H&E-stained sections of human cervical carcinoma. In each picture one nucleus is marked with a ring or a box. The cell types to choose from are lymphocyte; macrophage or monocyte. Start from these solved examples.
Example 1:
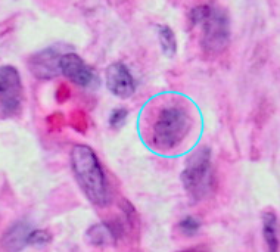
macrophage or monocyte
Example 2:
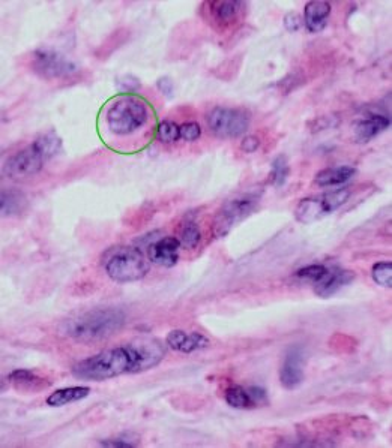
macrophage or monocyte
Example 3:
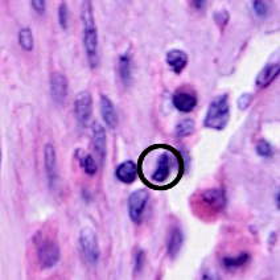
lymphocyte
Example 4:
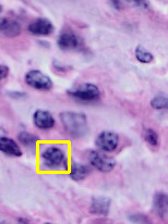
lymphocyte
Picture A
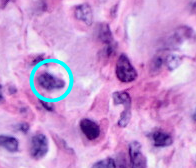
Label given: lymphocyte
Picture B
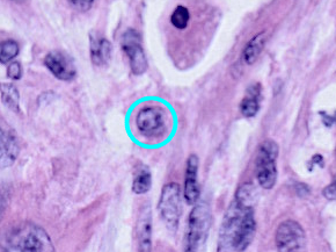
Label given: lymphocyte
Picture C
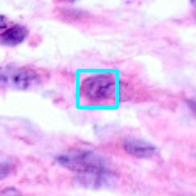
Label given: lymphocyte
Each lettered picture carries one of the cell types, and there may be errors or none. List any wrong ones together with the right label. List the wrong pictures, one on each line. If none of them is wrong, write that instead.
B is labelled lymphocyte; correct label: macrophage or monocyte
C is labelled lymphocyte; correct label: macrophage or monocyte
